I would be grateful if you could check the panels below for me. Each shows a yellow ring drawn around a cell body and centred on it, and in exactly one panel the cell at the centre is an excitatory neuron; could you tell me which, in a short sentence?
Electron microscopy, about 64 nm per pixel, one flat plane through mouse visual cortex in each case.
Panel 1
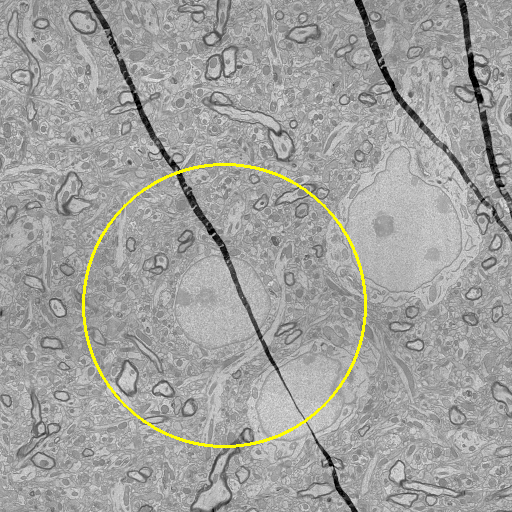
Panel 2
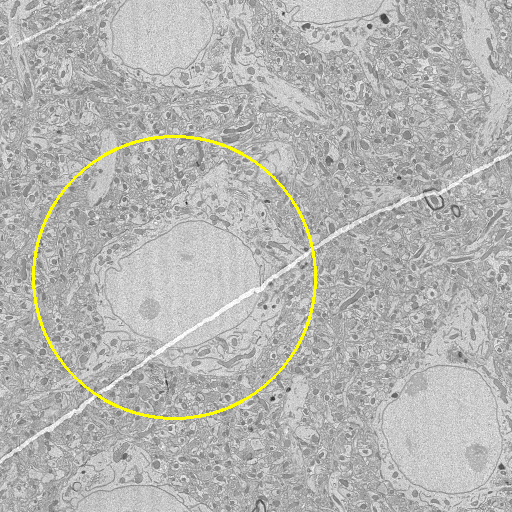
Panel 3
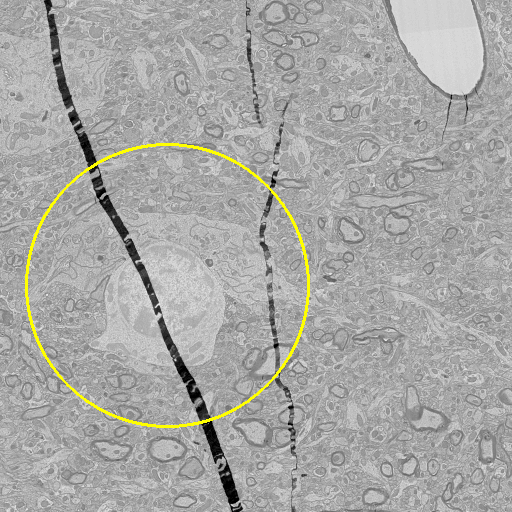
The ring in Panel 2 is centred on it.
